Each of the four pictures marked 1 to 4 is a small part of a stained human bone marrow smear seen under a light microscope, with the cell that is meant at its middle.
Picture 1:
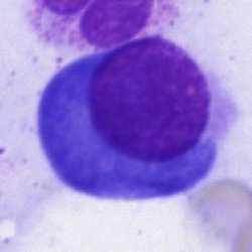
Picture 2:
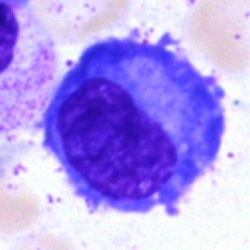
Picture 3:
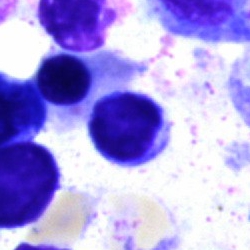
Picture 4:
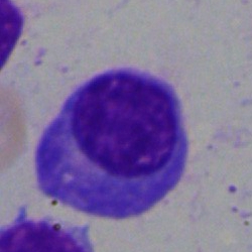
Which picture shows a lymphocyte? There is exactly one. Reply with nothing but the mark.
3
